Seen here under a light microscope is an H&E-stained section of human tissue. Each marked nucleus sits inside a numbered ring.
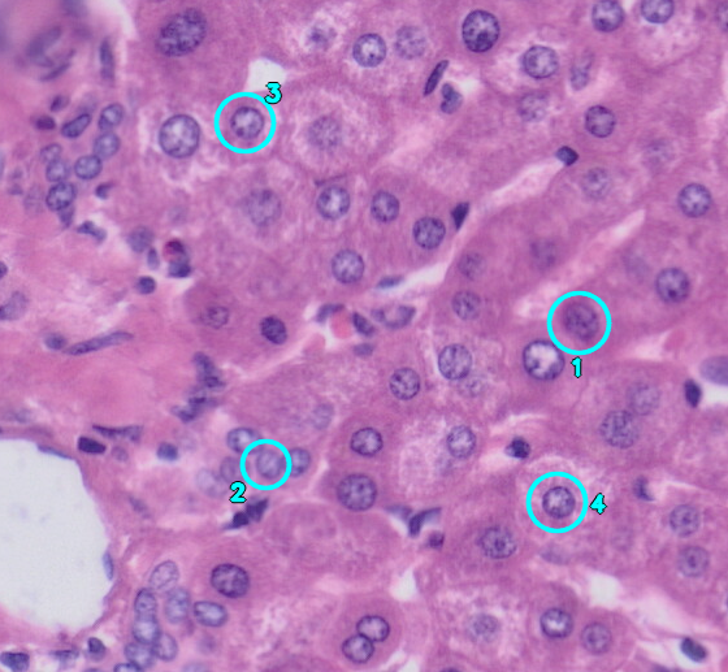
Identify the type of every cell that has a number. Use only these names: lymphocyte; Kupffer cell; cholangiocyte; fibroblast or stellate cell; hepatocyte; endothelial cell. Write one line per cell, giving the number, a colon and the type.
1: hepatocyte
2: cholangiocyte
3: hepatocyte
4: hepatocyte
